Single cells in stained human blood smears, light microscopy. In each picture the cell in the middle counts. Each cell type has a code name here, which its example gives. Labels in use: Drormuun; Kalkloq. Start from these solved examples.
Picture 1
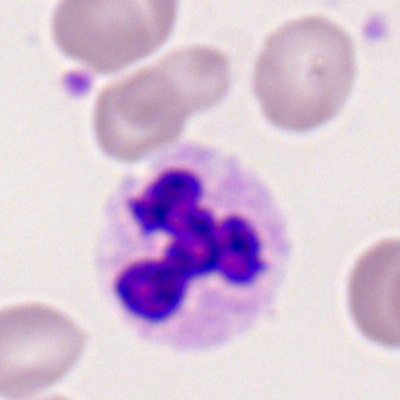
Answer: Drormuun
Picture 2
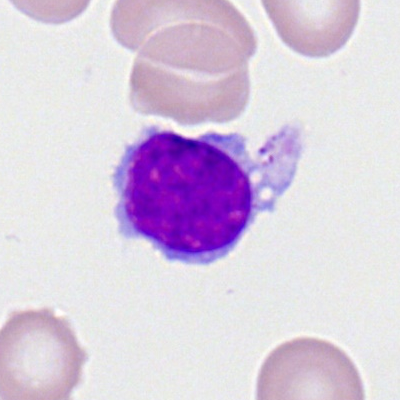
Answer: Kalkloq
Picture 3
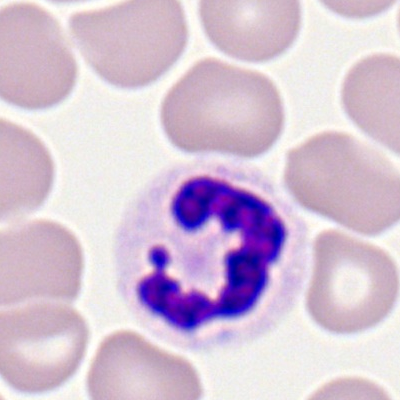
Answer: Drormuun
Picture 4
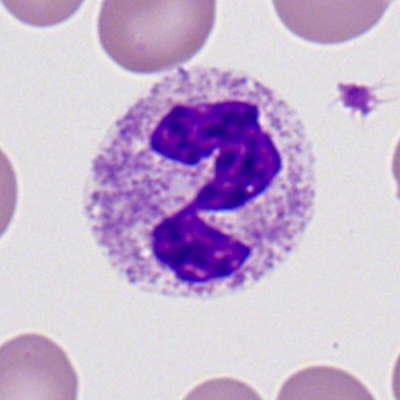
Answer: Drormuun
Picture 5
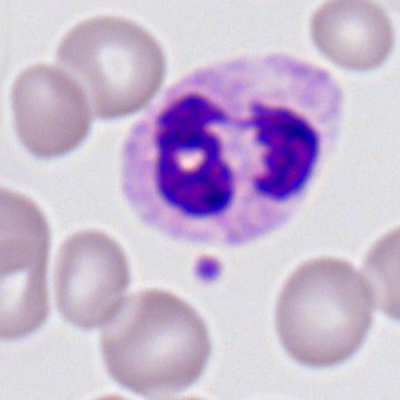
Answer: Drormuun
